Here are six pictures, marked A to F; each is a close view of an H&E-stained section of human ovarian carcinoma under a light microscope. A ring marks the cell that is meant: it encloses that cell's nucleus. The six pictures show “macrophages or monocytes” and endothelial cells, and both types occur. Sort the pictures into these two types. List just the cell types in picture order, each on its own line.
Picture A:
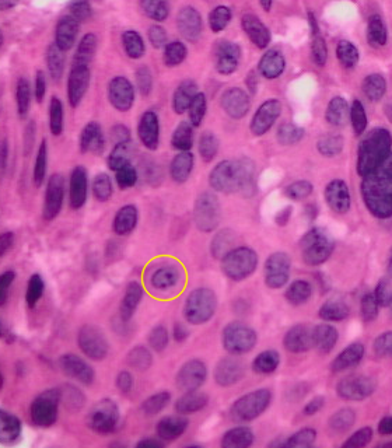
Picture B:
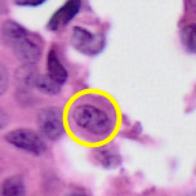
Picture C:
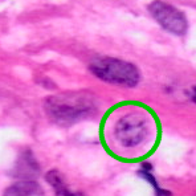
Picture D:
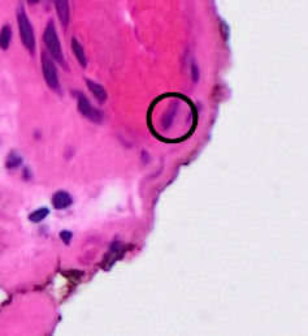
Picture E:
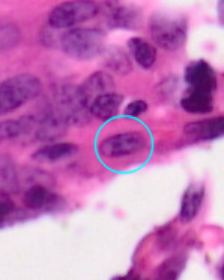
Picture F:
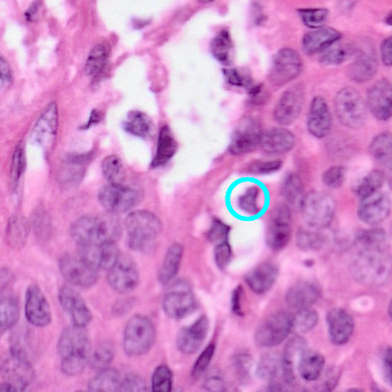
macrophage or monocyte
macrophage or monocyte
macrophage or monocyte
endothelial cell
endothelial cell
macrophage or monocyte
